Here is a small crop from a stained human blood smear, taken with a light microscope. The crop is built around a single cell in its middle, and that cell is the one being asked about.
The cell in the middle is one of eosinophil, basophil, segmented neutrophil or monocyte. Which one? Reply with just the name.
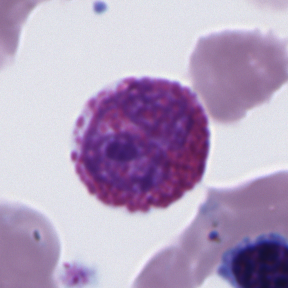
eosinophil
